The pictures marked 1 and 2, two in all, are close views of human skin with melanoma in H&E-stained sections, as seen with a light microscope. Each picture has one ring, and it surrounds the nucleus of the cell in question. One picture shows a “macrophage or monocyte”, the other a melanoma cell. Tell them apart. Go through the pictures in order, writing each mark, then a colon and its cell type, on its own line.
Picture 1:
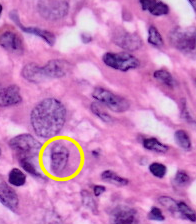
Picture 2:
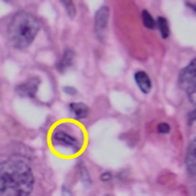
1: melanoma cell
2: macrophage or monocyte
